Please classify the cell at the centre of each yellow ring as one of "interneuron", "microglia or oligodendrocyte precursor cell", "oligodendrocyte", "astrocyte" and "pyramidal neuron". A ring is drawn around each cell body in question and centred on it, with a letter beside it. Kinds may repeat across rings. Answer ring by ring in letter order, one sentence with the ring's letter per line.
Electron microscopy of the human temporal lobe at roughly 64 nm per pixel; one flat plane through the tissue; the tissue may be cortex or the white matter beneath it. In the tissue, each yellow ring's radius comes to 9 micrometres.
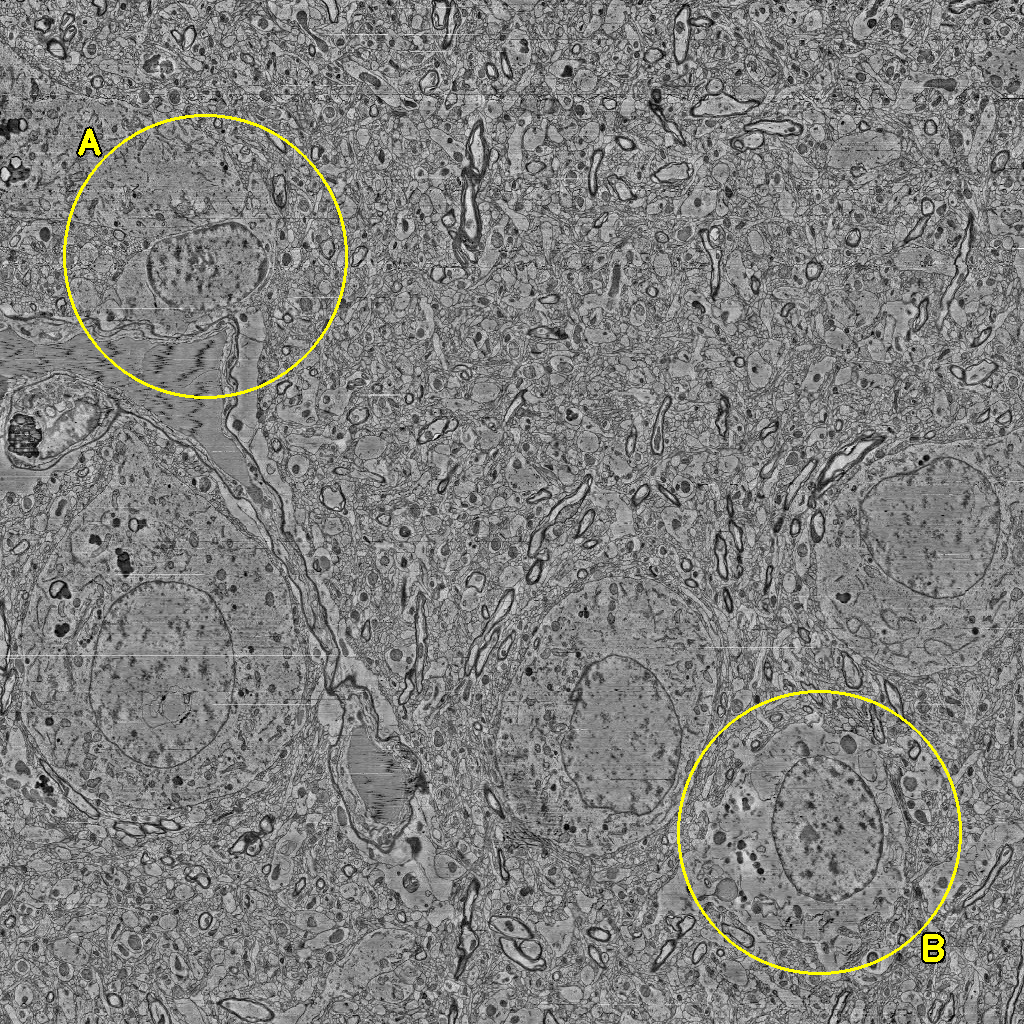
The cell at the heart of ring A is a microglial cell or oligodendrocyte precursor cell.
The cell at the heart of ring B is an astrocyte.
